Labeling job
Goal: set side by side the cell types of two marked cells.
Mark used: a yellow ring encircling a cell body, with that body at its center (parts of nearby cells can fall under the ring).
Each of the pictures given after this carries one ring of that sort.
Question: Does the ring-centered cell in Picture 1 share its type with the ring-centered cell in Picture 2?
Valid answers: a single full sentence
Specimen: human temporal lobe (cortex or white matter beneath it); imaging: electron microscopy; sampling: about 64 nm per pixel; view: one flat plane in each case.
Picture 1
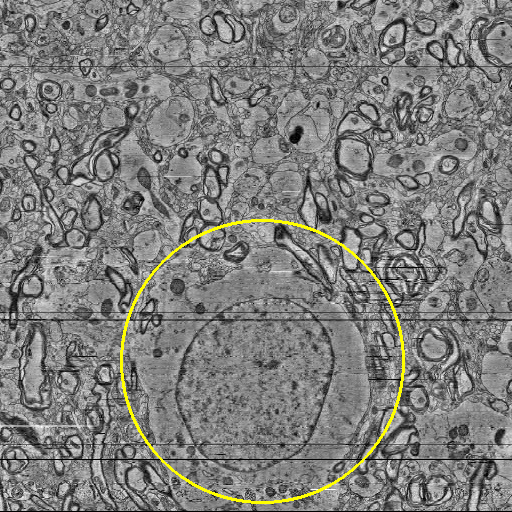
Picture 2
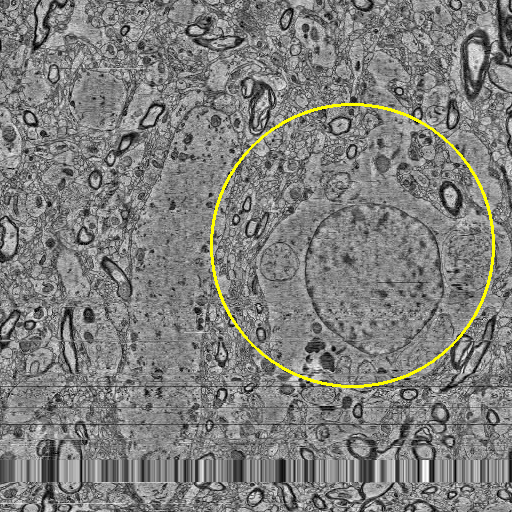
Yes, in Pictures 1 and 2 the cells at the ring centers share one type.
